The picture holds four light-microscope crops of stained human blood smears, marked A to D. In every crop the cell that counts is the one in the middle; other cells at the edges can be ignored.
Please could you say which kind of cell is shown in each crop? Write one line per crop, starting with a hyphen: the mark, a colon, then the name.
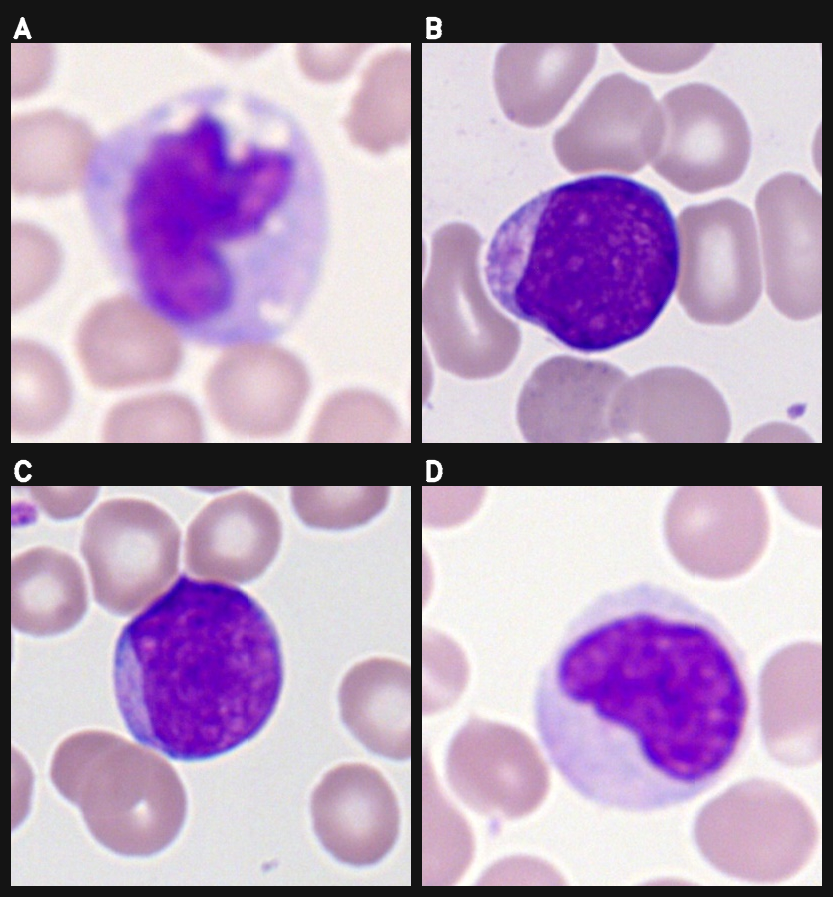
- A: monocyte
- B: blast
- C: blast
- D: monocyte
